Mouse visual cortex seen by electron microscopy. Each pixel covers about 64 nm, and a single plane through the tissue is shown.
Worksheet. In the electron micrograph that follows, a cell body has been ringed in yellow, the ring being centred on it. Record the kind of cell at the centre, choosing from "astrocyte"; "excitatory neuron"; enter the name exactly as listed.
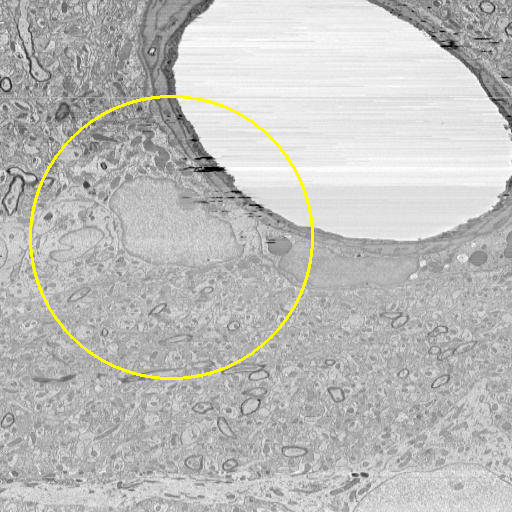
astrocyte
